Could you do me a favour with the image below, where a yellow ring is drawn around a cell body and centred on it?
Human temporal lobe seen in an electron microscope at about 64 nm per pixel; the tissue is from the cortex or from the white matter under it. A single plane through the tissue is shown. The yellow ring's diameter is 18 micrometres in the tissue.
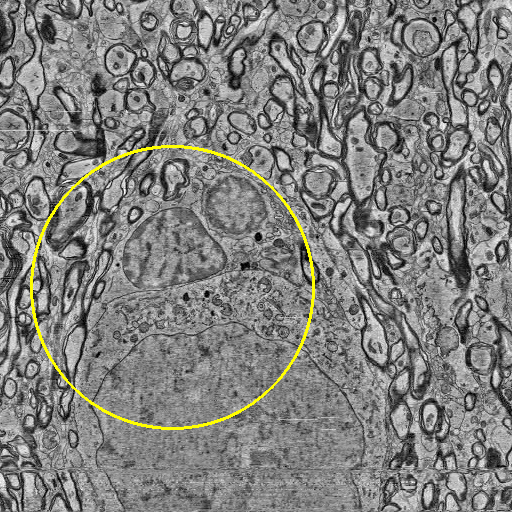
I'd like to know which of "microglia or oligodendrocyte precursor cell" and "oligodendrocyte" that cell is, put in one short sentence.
The cell at the ring's centre is a microglial cell or oligodendrocyte precursor cell.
